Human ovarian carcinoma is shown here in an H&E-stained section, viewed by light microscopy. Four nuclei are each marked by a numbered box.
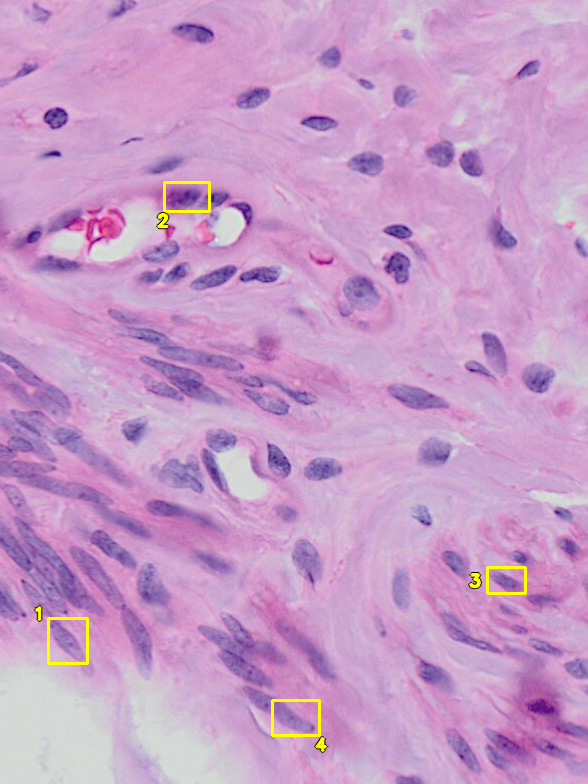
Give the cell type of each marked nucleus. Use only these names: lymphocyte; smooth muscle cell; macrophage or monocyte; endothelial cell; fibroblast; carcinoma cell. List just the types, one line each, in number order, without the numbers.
smooth muscle cell
endothelial cell
smooth muscle cell
smooth muscle cell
